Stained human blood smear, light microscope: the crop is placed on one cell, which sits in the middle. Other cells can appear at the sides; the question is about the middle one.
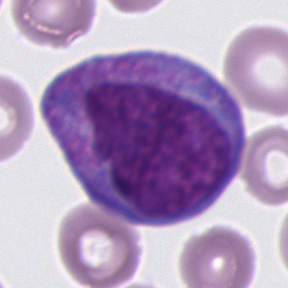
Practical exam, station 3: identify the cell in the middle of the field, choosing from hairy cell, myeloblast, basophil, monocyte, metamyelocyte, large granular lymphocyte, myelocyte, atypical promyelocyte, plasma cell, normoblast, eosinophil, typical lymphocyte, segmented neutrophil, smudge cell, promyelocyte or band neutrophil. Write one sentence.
Standing at the centre of this crop is an atypical promyelocyte.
